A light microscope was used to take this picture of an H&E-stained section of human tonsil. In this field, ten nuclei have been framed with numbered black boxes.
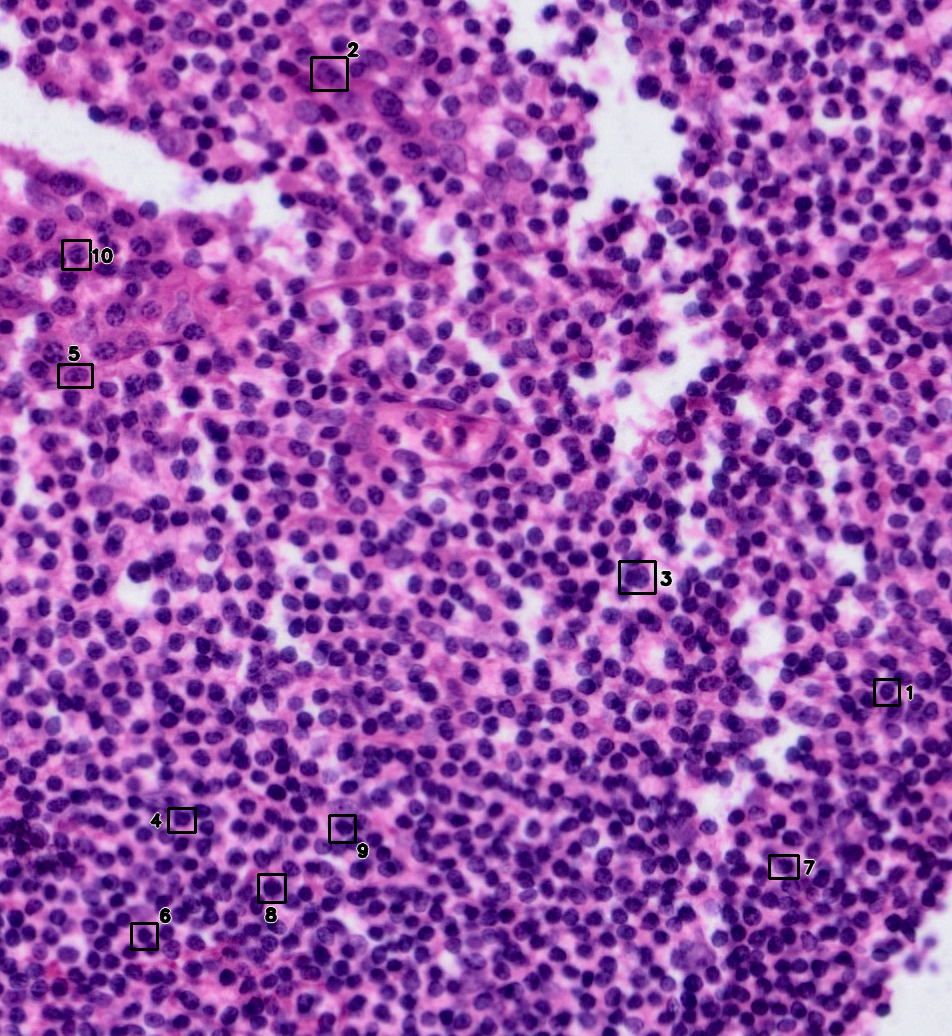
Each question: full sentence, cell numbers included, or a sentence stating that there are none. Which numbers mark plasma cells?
The cells that have been numbered 5 and 10 are plasma cells.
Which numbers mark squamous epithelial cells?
Among the numbered nuclei, only the one labelled 2 belongs to a squamous epithelial cell.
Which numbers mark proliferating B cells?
Cell 3 is a proliferating B cell, which is true of none of the other numbered cells.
